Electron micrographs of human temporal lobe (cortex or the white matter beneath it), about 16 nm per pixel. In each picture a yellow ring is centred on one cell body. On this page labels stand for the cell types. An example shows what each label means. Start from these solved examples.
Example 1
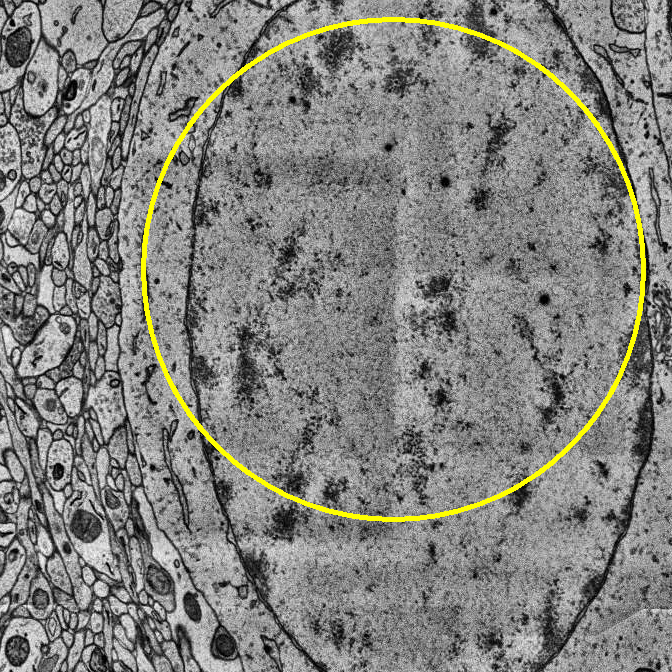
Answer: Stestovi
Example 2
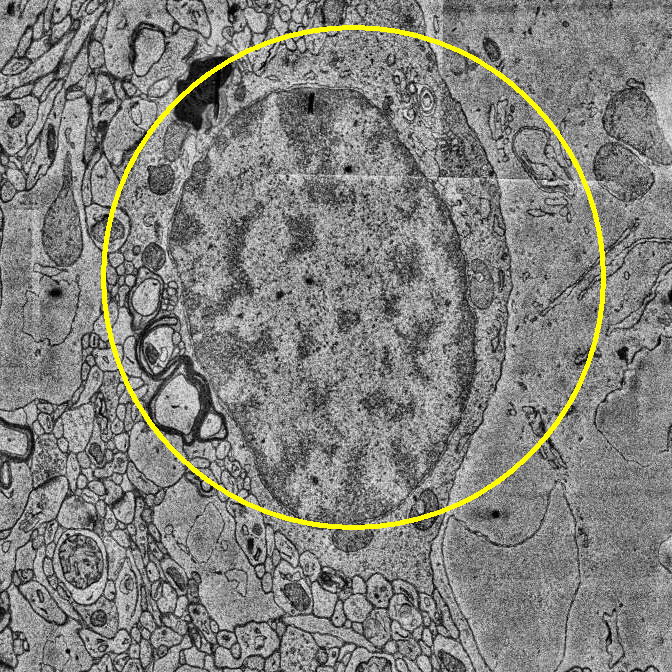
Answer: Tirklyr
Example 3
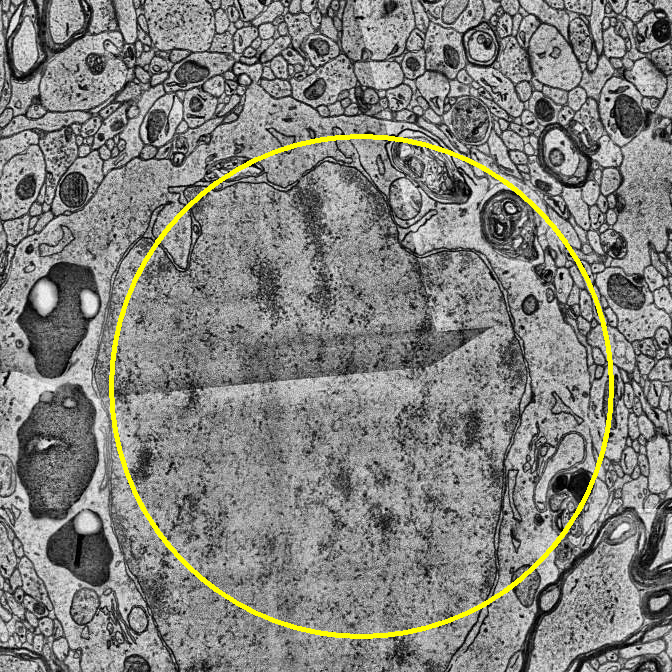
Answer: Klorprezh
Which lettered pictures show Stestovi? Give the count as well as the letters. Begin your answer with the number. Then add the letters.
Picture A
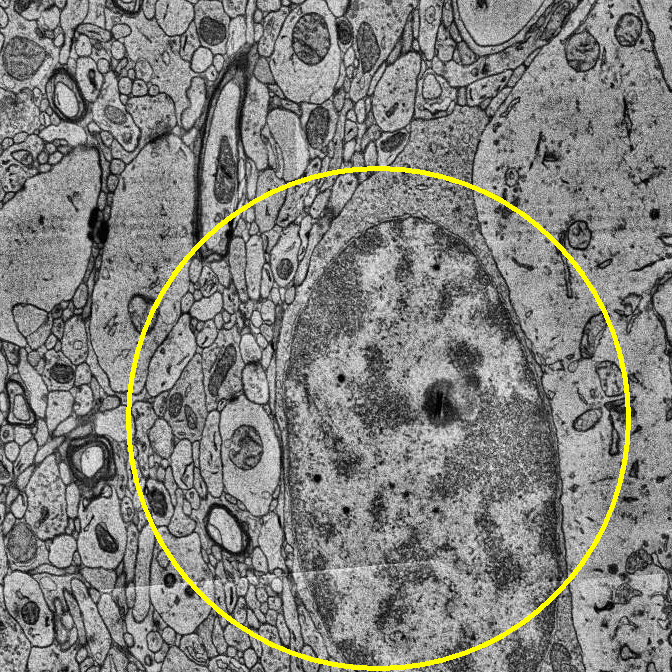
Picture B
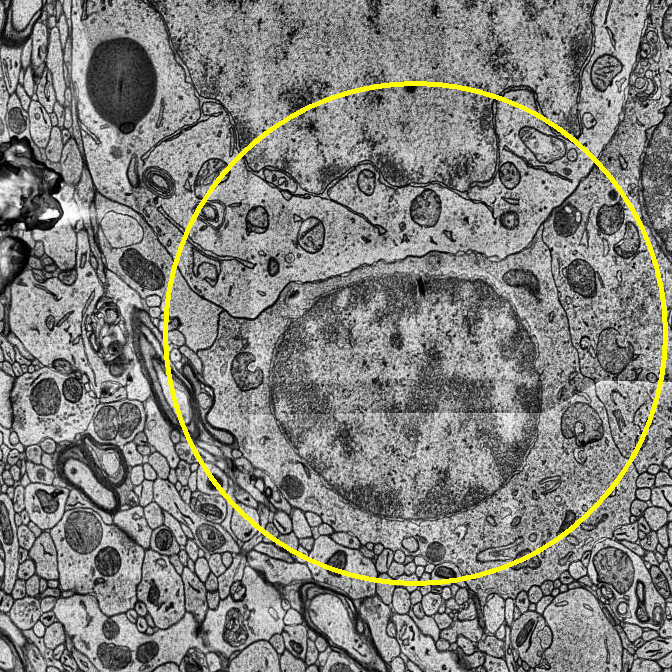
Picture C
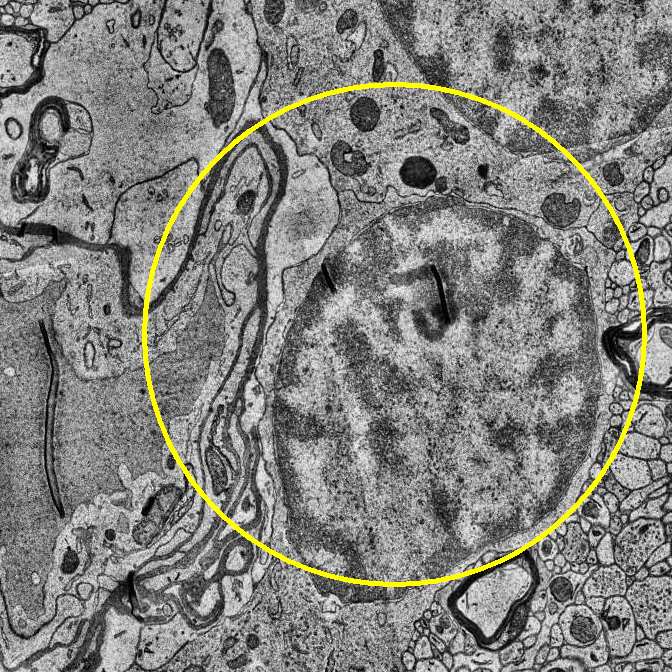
0, none of them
